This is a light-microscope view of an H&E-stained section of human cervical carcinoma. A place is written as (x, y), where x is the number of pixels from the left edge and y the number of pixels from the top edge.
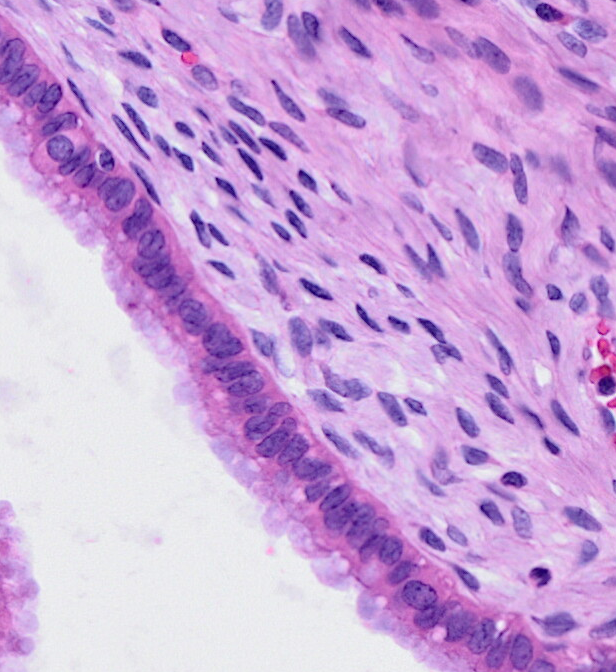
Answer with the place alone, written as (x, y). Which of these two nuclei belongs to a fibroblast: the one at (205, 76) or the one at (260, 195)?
(260, 195)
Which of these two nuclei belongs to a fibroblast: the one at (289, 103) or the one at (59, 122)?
(289, 103)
